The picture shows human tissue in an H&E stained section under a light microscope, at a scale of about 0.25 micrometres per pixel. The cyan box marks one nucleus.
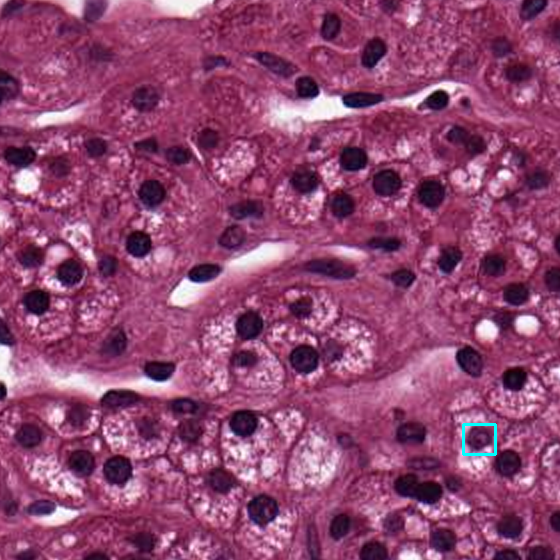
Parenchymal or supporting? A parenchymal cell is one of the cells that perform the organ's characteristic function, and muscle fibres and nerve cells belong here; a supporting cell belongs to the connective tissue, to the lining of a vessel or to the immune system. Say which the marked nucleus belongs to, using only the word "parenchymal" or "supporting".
parenchymal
